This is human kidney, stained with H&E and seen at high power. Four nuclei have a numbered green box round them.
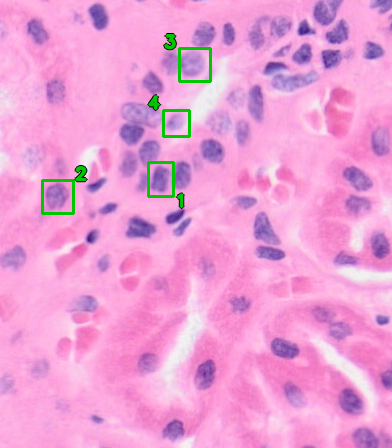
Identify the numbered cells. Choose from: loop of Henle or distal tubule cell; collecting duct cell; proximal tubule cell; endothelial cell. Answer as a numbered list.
1. collecting duct cell
2. proximal tubule cell
3. collecting duct cell
4. collecting duct cell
